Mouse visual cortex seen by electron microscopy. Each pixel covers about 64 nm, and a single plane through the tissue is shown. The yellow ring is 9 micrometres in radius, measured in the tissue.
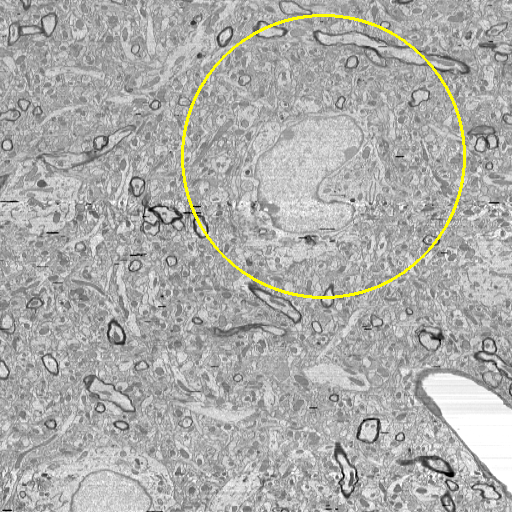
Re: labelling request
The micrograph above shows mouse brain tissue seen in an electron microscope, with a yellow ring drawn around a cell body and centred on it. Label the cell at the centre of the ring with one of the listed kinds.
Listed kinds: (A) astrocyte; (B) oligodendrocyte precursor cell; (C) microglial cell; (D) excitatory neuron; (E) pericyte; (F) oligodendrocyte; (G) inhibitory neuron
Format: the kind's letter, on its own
B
